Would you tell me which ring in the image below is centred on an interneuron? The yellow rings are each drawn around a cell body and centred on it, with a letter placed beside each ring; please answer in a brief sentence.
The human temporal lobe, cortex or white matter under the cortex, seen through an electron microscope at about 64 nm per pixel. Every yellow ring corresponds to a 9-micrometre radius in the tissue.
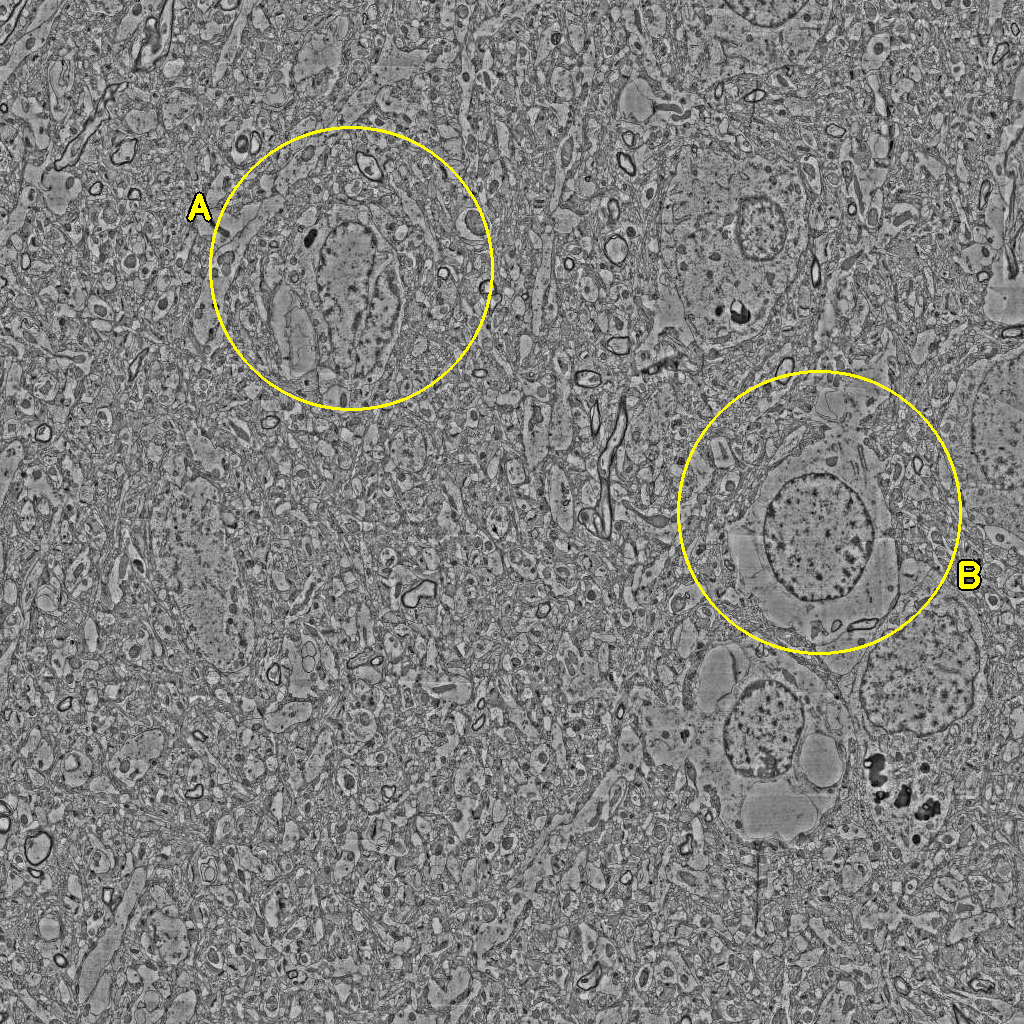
Ring A is centred on it.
